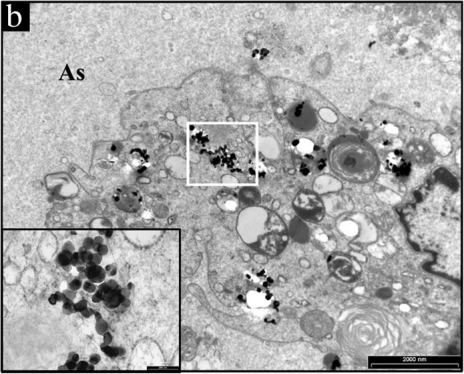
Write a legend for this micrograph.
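Large alveolar macrophage at the edge of an air space. Its cytoplasm is packed with clear vacuoles, small vesicles and clusters of very electron-dense round particles, enlarged in the inset. Concentric onionskin-like multimembrane whorls lie among the vacuoles. The cell surface is irregular with small projections.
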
